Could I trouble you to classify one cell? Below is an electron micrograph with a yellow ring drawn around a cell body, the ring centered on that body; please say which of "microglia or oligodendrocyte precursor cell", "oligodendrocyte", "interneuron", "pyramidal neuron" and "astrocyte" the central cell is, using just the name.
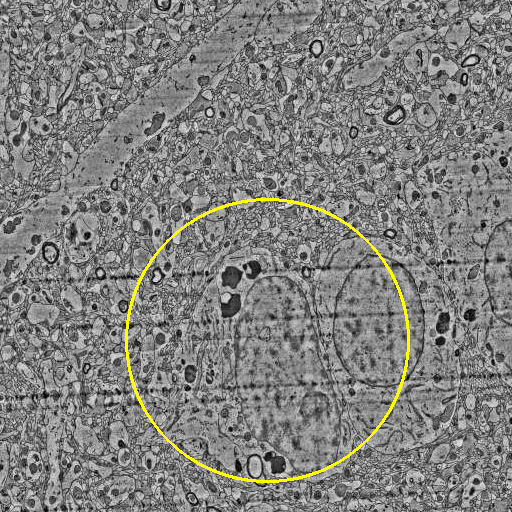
interneuron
